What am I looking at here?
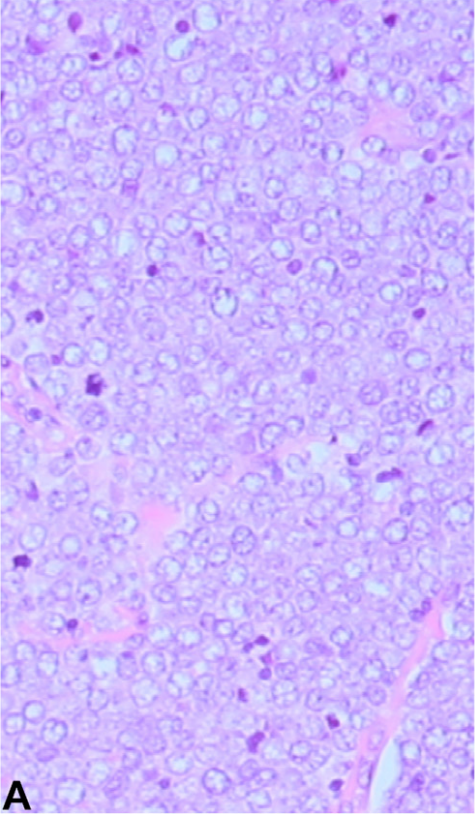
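This is a solid, diffuse sheet of densely crowded round cells stained with hematoxylin and eosin. The nuclei are round, fairly uniform and pale with finely granular chromatin, and the cytoplasm around them is scant. Scattered among them are small, very dark purple bodies, many of them dividing cells. Thin pink fibrous strands cross the sheet here and there, but the cells form no glands or clear structures.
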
